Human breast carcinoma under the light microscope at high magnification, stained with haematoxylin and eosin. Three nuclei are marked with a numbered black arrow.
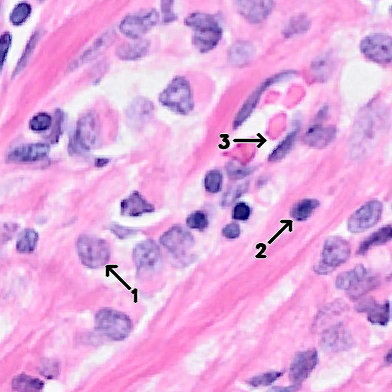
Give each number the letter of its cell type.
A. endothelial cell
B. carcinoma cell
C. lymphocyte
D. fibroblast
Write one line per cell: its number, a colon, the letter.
1: B
2: C
3: A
